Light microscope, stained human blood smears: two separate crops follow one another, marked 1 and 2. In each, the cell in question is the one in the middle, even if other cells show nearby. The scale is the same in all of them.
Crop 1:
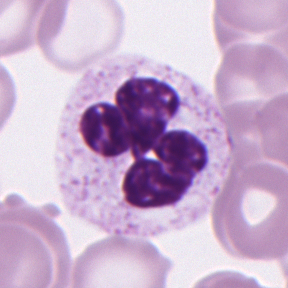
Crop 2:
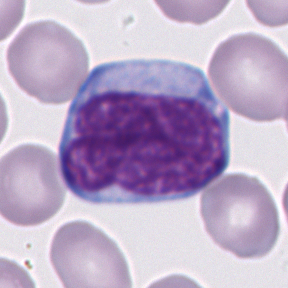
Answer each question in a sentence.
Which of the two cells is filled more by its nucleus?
In crop 2 the nucleus takes up the larger part of its cell.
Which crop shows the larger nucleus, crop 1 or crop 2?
Crop 2 shows the larger nucleus; it covers about 1.5 times the area of the nucleus in crop 1.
